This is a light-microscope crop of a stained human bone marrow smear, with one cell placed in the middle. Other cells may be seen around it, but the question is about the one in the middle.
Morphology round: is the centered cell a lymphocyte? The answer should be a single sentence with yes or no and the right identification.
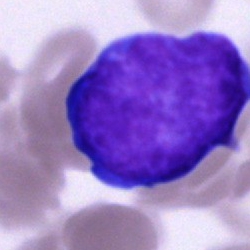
No, the cell under consideration is a blast instead of a lymphocyte.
